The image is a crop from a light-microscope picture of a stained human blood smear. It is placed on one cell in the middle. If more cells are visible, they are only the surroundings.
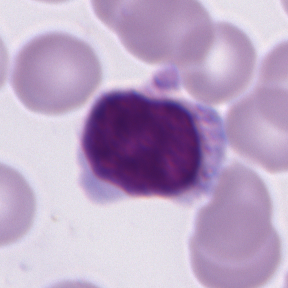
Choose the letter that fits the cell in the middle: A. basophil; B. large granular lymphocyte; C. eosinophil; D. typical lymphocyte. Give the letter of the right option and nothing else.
D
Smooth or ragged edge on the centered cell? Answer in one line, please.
The outer contour of the cell is irregular, with ragged portions or projections along it.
